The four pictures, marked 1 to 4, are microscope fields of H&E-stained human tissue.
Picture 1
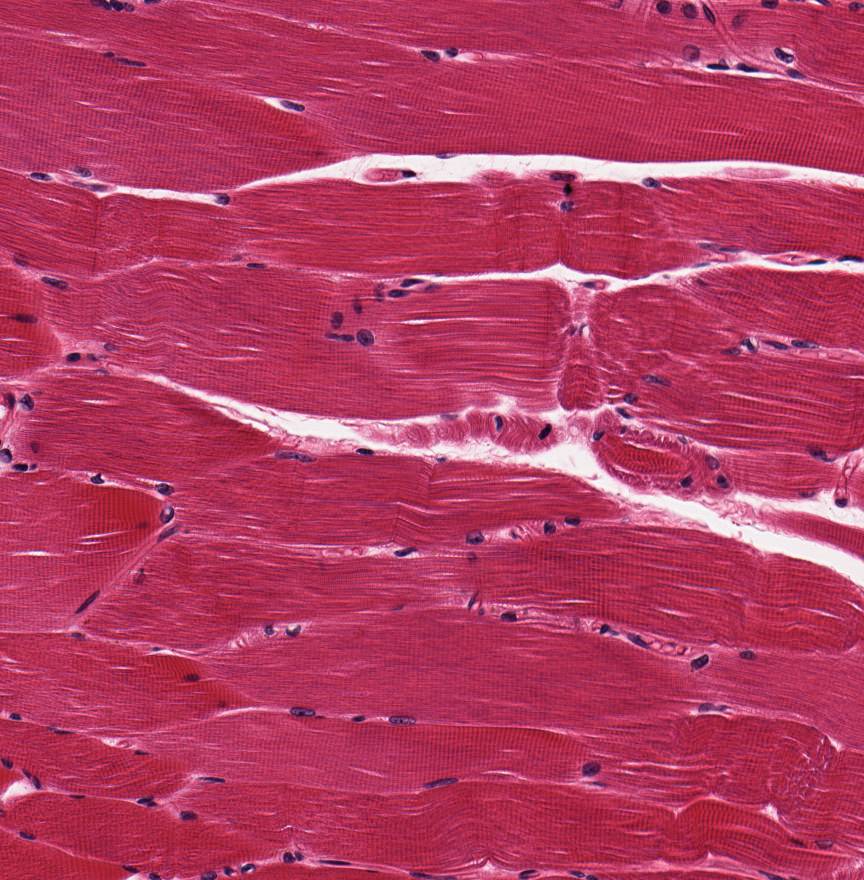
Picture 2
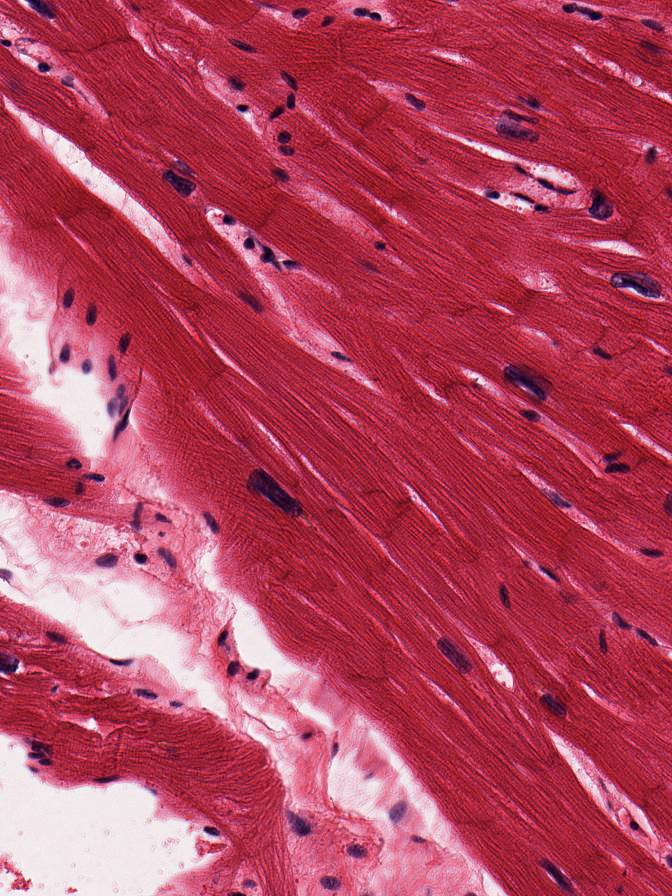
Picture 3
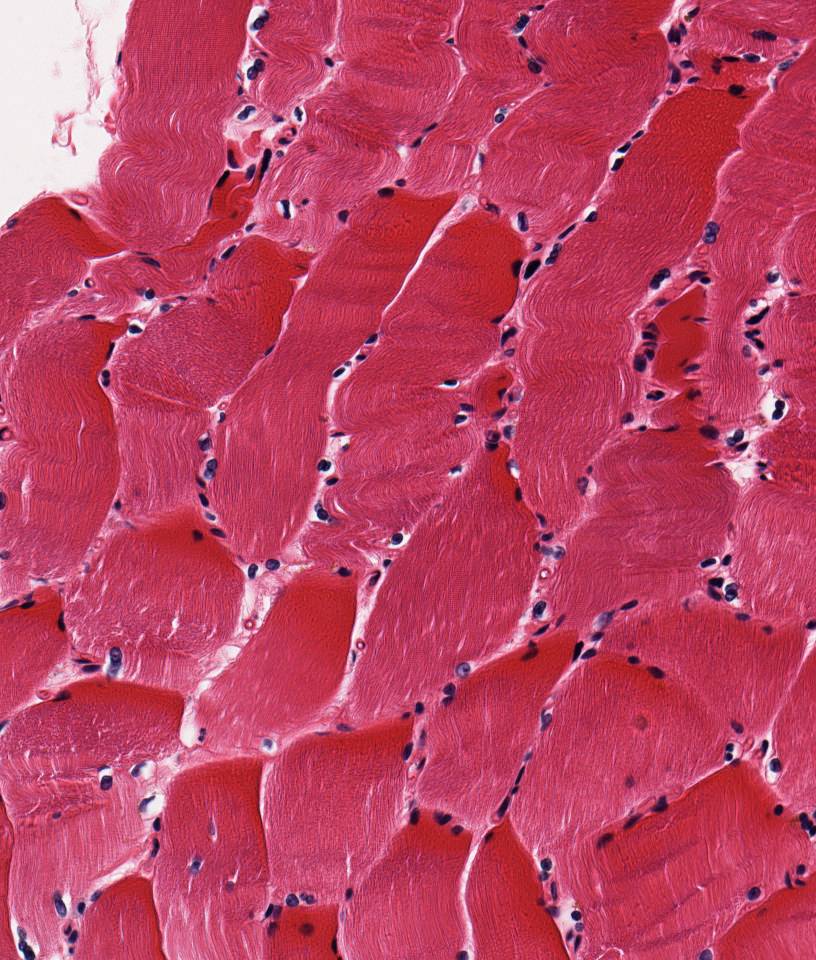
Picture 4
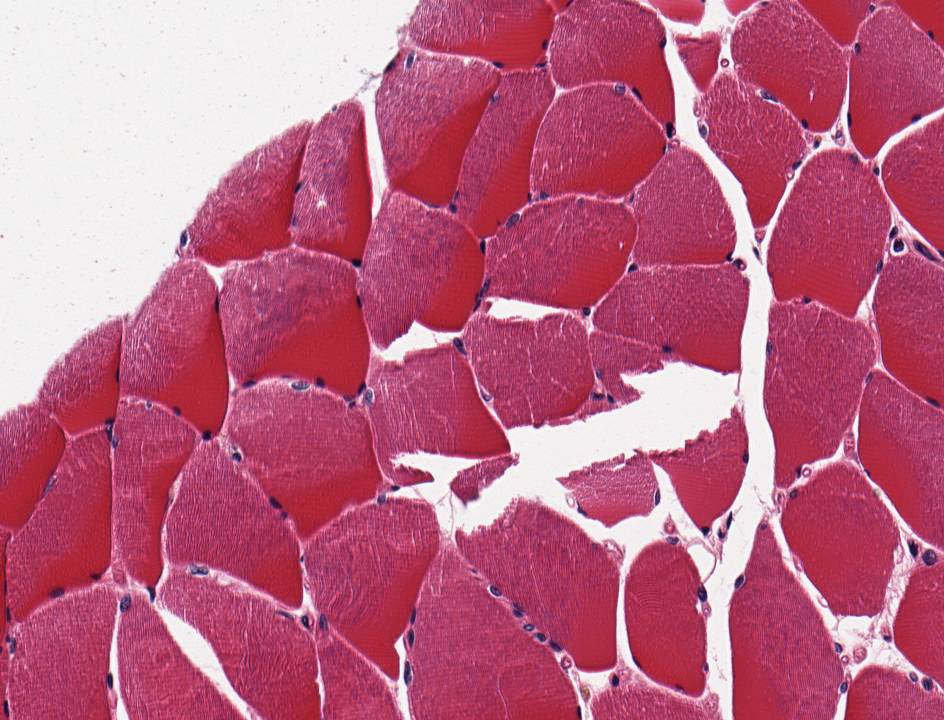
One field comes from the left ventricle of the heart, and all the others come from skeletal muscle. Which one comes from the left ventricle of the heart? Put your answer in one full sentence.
Picture 2 is the field that comes from the left ventricle of the heart.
